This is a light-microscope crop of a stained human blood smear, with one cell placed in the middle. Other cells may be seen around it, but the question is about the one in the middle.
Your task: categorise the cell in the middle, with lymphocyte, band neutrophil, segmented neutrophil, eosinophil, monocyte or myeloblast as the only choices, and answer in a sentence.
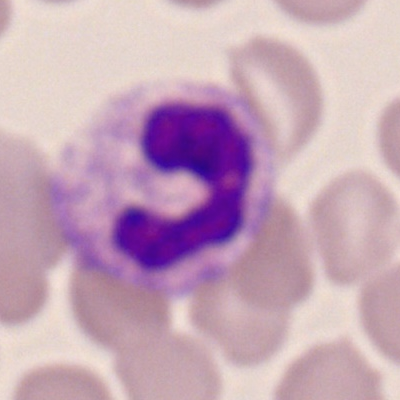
The cell nearest the centre of this crop is a band neutrophil.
